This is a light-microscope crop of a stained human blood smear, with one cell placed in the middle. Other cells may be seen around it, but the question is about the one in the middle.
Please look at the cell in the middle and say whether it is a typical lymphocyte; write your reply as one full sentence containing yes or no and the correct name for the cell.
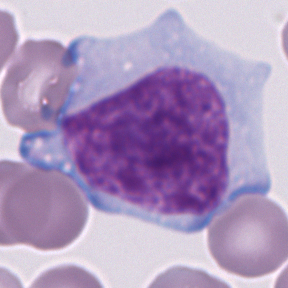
No, the cell in the middle of the crop counts as a myeloblast and not as a typical lymphocyte.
